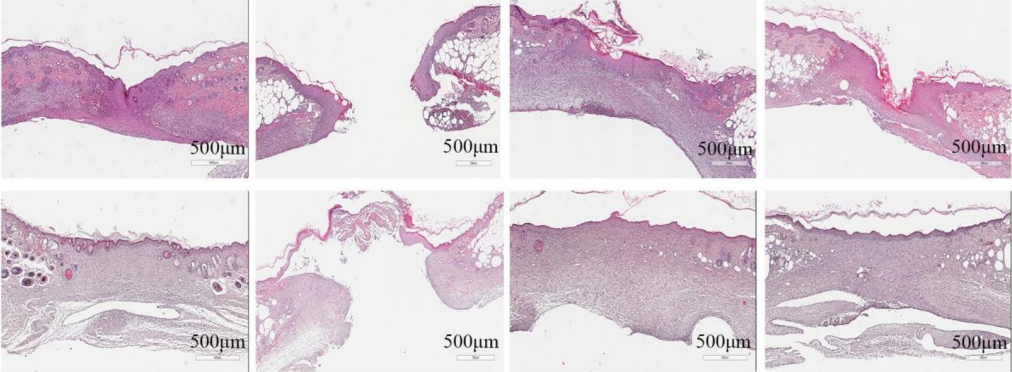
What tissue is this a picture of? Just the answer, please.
Wound healing tissues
